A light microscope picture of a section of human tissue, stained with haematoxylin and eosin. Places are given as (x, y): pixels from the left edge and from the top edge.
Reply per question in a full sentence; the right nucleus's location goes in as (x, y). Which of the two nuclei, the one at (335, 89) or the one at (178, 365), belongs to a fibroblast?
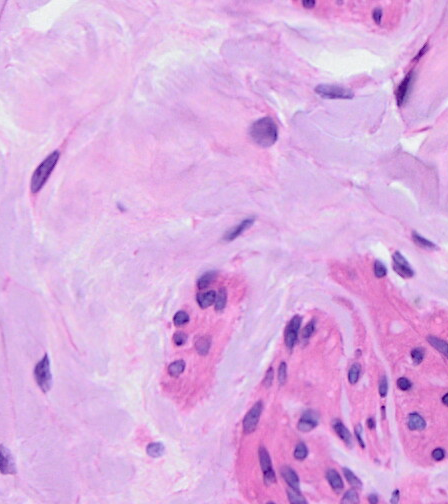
That would be the nucleus at (335, 89); it belongs to a fibroblast.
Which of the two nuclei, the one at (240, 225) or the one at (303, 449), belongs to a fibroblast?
It is the nucleus at (240, 225), not the other one, that belongs to a fibroblast.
